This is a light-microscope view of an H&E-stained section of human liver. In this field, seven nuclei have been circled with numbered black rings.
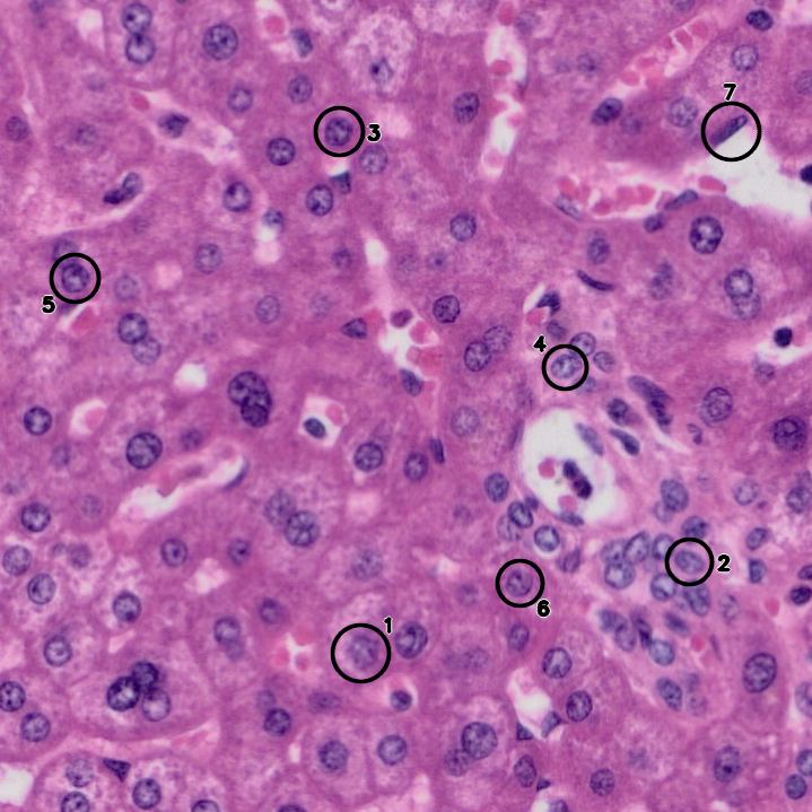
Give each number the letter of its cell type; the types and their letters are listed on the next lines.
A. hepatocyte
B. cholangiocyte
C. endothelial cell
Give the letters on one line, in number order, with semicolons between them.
A; B; A; B; A; A; C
